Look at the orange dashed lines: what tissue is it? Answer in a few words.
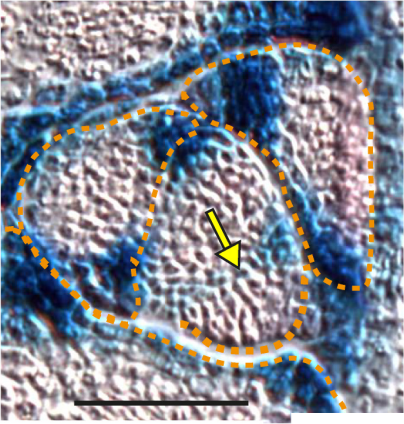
Leaf primordia.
